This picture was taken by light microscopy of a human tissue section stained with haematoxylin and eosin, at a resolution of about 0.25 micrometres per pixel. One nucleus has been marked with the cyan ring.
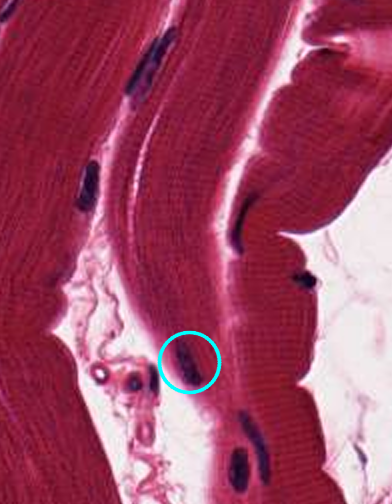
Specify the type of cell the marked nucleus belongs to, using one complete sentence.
Marked in this picture is the nucleus of a skeletal muscle fibre.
